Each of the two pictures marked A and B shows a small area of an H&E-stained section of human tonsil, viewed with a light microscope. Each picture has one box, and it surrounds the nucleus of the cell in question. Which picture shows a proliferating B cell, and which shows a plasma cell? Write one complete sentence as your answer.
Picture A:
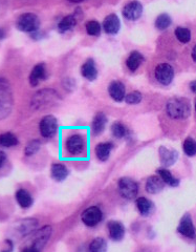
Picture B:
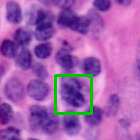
The cell in picture A is a plasma cell, and the one in picture B is a proliferating B cell.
